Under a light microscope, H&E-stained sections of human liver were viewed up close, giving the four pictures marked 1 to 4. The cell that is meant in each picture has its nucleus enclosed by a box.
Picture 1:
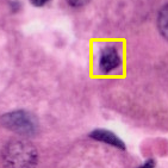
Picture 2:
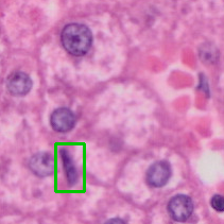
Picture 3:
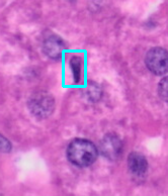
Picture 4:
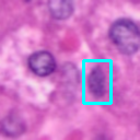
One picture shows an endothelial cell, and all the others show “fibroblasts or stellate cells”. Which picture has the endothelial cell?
3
